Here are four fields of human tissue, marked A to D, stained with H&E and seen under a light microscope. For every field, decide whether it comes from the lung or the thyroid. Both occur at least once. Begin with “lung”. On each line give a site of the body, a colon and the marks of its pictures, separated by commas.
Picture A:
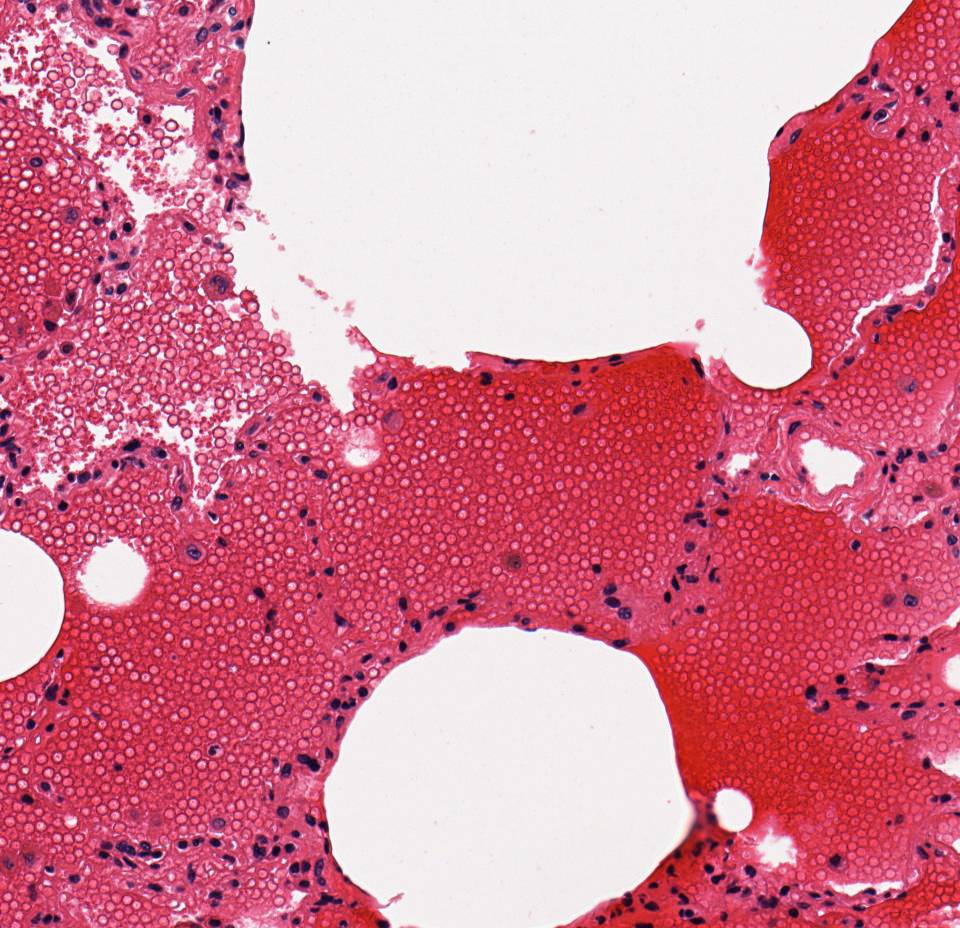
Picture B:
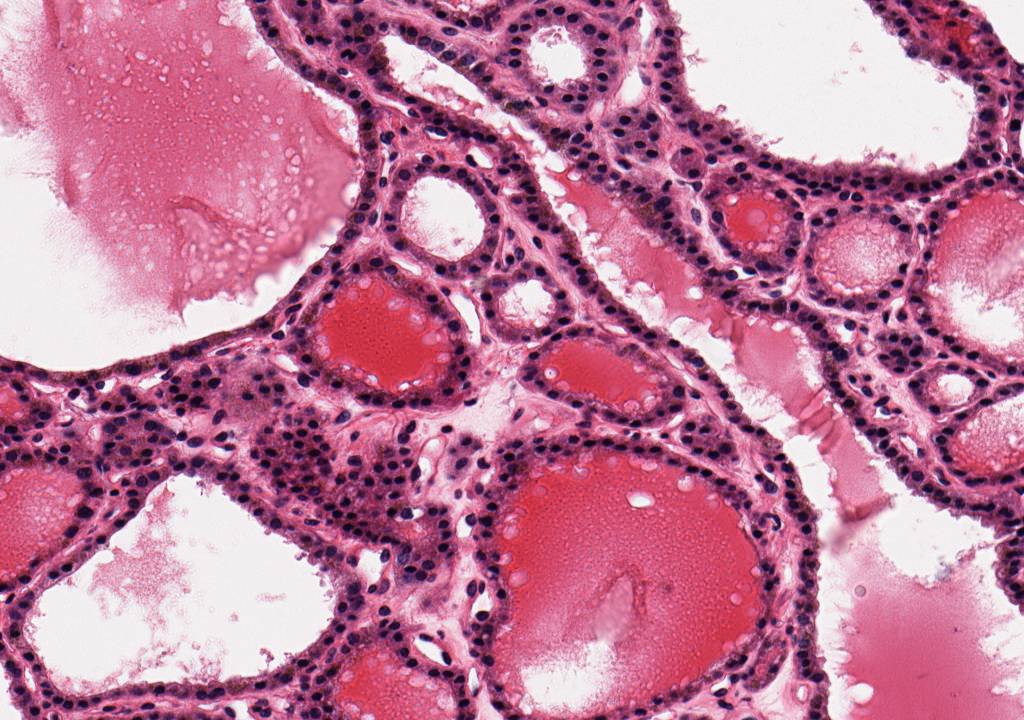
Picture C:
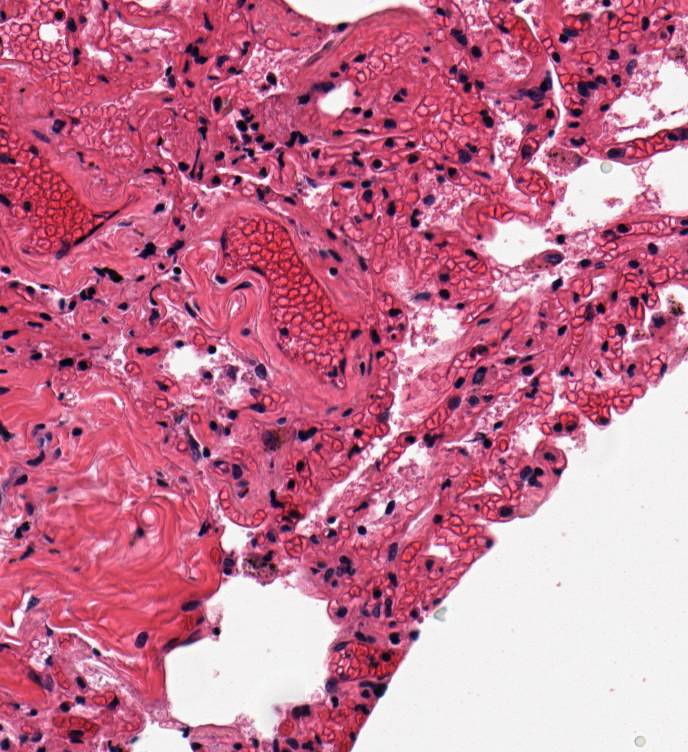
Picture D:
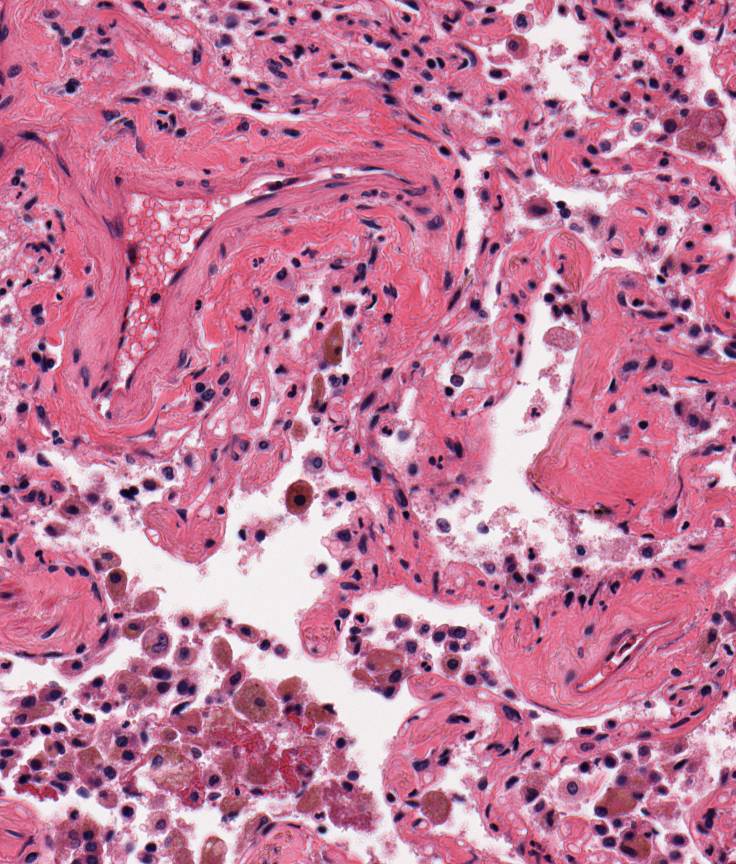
lung: A, C, D
thyroid: B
